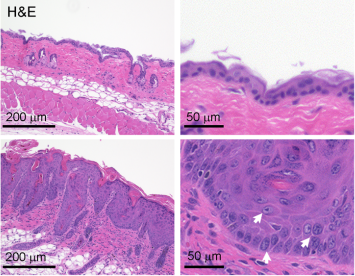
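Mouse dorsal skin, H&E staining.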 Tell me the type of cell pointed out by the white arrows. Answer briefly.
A: enlarged keratinocytes with loose chromatin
